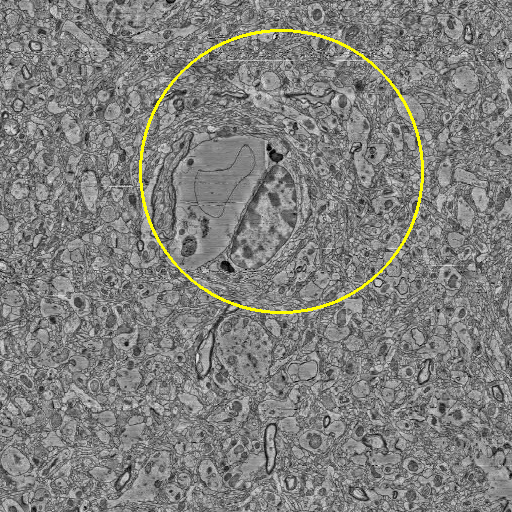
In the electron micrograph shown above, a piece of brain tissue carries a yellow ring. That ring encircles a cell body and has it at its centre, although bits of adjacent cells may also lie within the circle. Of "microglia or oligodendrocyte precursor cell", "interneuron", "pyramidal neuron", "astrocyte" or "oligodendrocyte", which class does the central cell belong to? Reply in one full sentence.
The cell body at the centre of the yellow ring belongs to a microglial cell or oligodendrocyte precursor cell.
